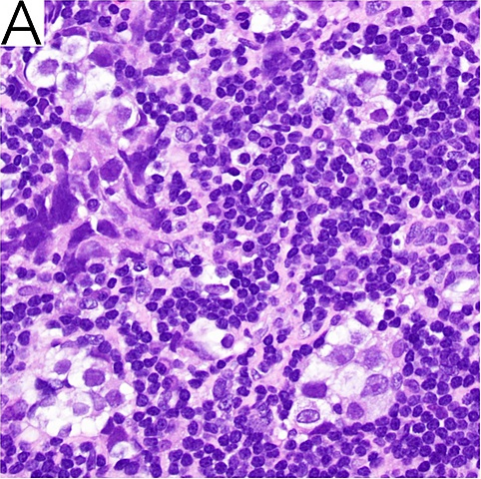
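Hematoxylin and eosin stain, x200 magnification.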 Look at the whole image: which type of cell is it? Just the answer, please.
Seminoma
